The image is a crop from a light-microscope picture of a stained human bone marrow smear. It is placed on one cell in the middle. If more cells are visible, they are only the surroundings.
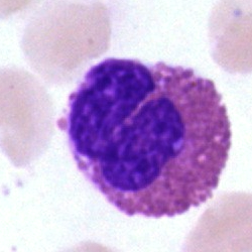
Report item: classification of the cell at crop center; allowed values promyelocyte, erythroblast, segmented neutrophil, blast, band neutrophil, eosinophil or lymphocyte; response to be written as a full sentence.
The middle cell in this particular crop is an eosinophil.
